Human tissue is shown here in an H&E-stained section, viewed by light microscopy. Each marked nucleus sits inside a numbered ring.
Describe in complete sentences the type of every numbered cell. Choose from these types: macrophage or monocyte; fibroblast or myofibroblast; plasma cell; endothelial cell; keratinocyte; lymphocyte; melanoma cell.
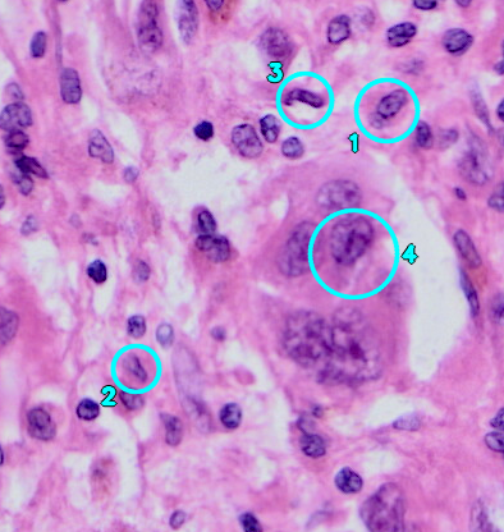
Cell 1 is a macrophage or monocyte, cell 2 is a macrophage or monocyte, cell 3 is a fibroblast or myofibroblast and cell 4 is a melanoma cell.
